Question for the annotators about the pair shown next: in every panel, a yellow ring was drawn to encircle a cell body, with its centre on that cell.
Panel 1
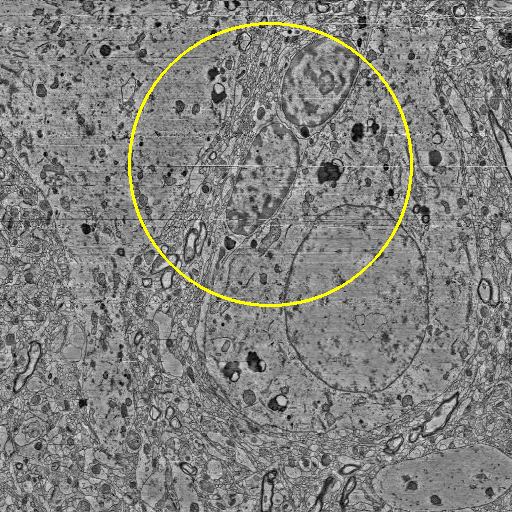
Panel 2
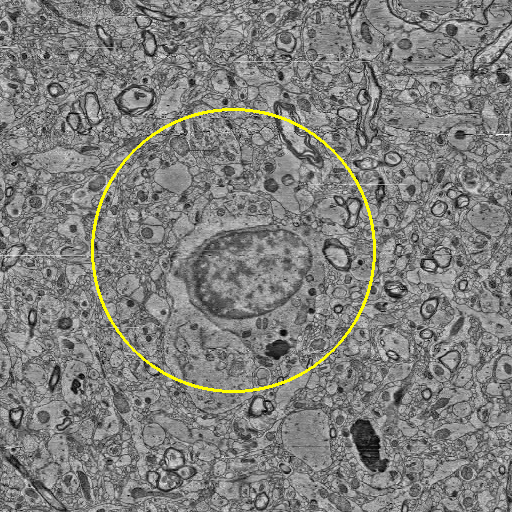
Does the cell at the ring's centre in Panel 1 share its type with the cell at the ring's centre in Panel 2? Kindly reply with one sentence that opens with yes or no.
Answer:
No, in Panels 1 and 2 the cells at the ring centres belong to separate types.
